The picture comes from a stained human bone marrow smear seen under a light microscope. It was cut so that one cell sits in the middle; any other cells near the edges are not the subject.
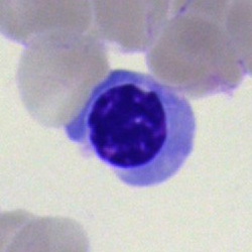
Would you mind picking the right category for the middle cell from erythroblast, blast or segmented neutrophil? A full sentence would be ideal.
Whatever else lies nearby, the middle cell is an erythroblast.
